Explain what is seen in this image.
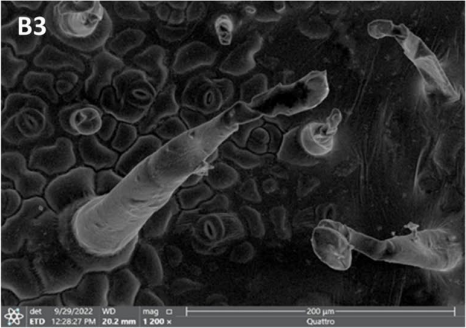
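Scattered among them are stomata, each an oval pair of guard cells around a slit-like pore. A long hair with a broad base tapers away across the surface, and smaller hairs with collapsed or shrivelled heads lie nearby. Thin strands and debris lie on the surface in places.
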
